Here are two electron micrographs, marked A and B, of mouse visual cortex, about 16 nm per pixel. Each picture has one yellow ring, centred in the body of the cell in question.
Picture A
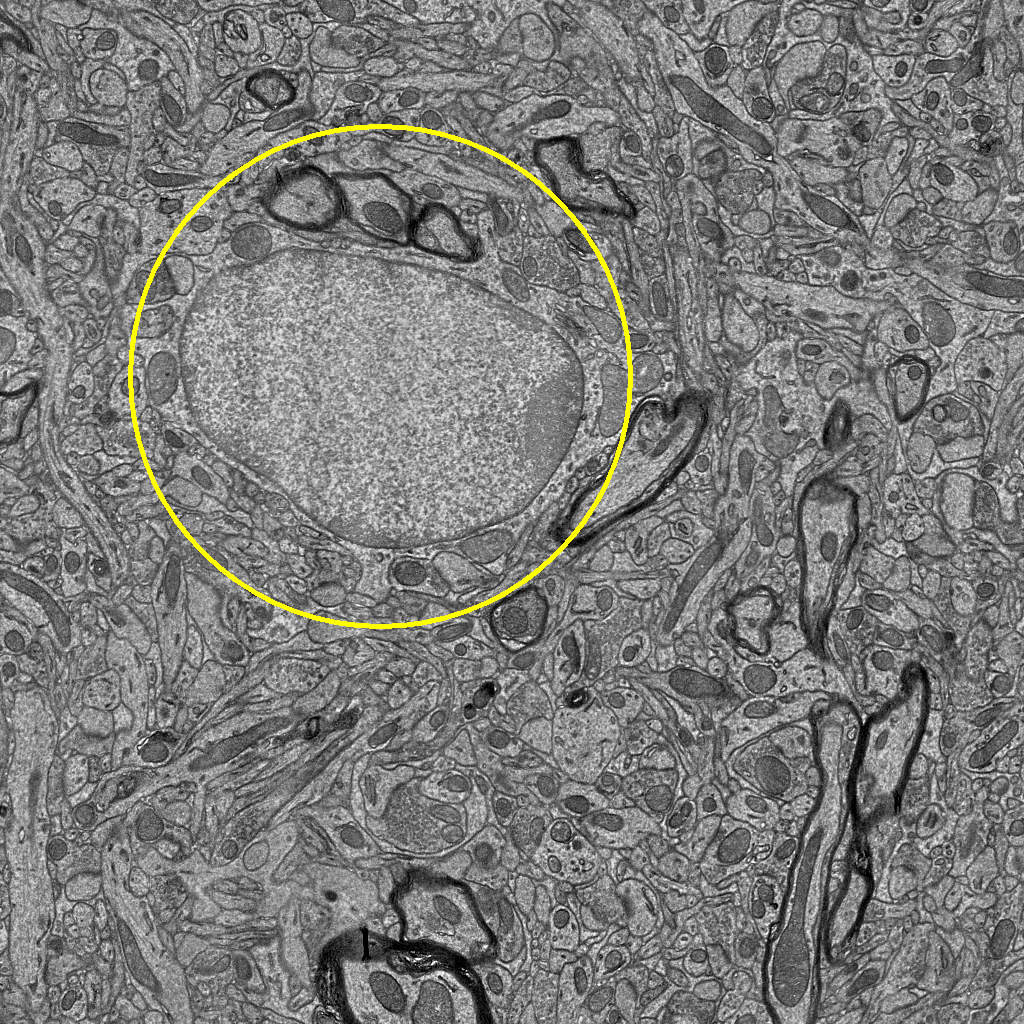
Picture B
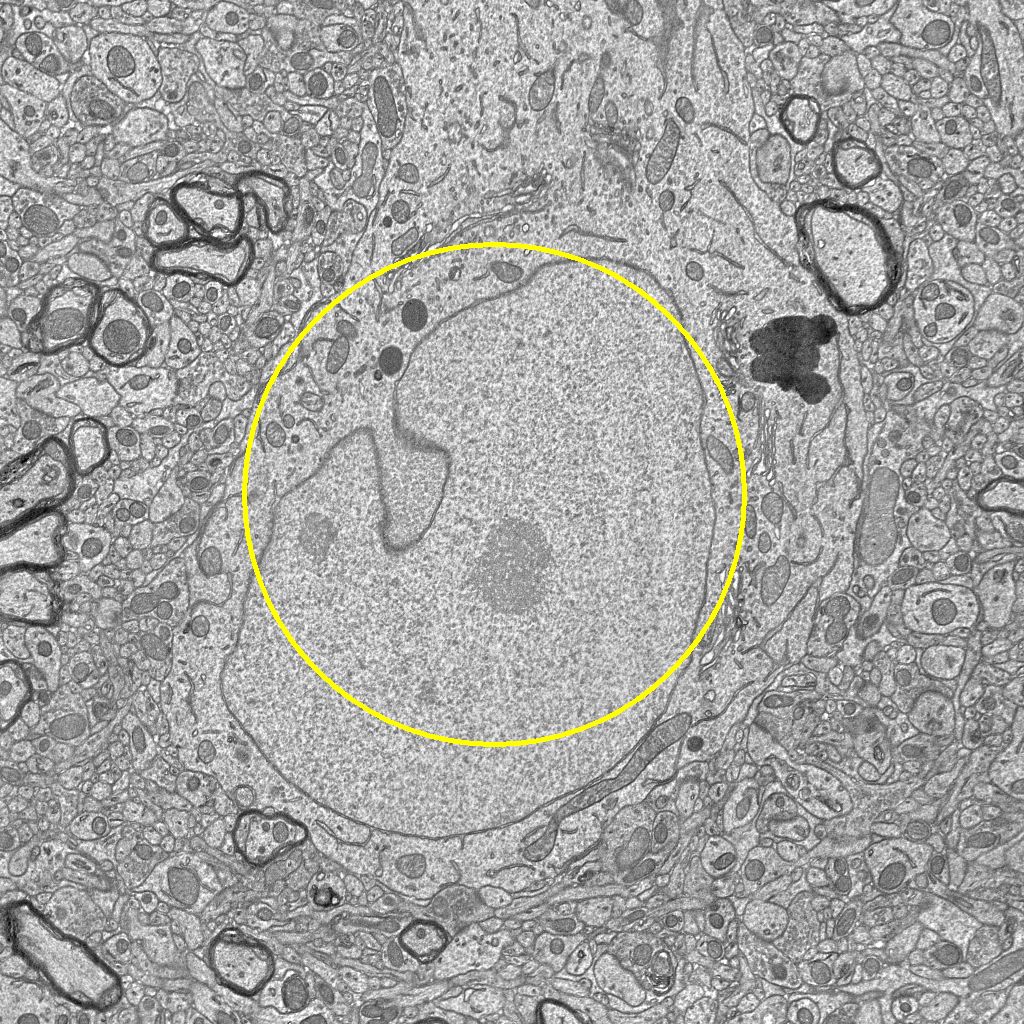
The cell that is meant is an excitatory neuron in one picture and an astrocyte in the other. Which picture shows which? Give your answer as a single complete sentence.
Picture A shows an astrocyte and picture B shows an excitatory neuron.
